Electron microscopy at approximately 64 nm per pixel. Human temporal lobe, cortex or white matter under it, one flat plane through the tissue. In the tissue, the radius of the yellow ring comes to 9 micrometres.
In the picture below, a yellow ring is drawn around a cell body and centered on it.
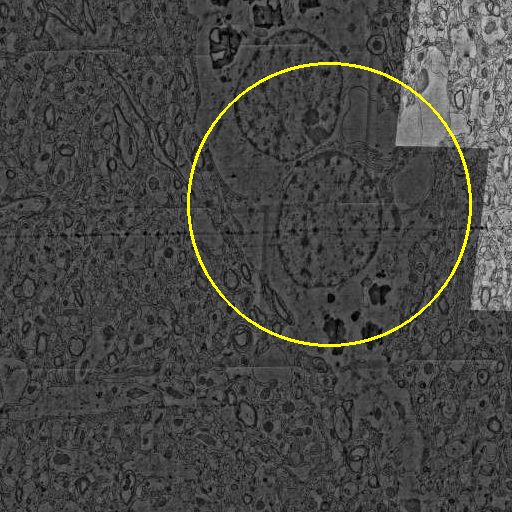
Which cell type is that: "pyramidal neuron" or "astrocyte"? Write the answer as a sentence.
The cell centered in the ring is an astrocyte.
